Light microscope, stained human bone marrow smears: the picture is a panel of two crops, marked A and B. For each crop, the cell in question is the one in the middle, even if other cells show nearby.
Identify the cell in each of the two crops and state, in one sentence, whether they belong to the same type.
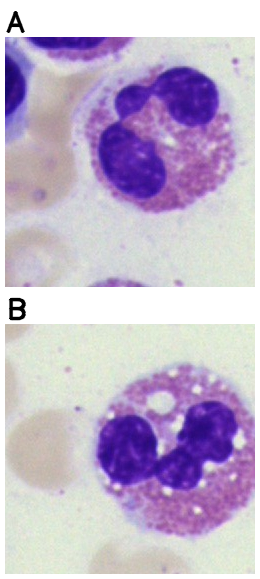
Yes, it is eosinophils that sit at the centre of both crops.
